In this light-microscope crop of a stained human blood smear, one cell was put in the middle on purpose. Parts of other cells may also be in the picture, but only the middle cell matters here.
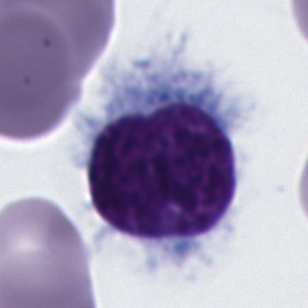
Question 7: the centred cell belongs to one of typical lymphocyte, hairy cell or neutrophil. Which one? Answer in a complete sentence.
Present in the middle of the crop is a hairy cell.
